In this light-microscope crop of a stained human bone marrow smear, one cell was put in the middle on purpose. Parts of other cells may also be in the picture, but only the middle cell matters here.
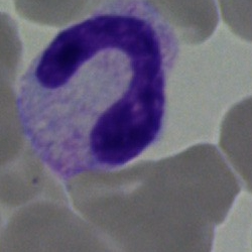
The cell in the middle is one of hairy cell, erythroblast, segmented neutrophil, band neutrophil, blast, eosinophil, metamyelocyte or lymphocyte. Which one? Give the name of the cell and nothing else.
band neutrophil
